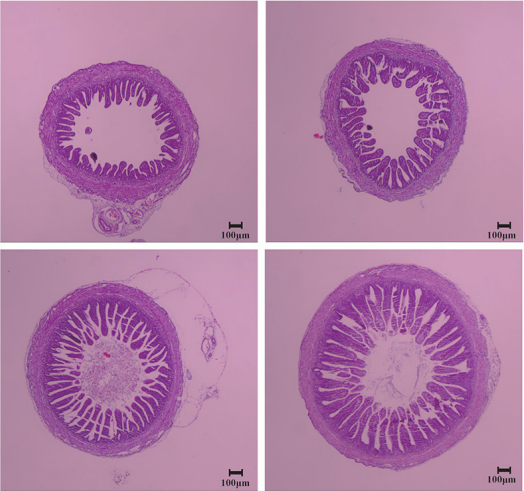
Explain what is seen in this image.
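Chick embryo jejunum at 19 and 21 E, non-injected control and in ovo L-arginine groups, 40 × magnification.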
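The outer part of each ring is a band of muscular wall, with the thin serosa at its rim. Numerous slender villi project inward from the wall and are arranged radially around the lumen. Their surfaces are lined by a darker purple epithelial layer. In the lower pair of sections the villi are longer and more crowded, and the lumen holds pale, loose material. Small pieces of attached tissue lie outside the wall in some sections.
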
